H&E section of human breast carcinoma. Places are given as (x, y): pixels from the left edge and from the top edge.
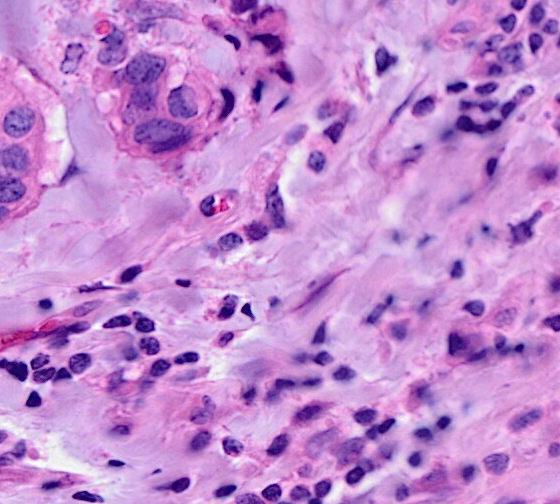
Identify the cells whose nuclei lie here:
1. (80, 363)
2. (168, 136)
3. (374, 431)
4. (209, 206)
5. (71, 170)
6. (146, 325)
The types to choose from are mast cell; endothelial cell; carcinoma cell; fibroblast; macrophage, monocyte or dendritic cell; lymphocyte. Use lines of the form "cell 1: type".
cell 1: lymphocyte
cell 2: carcinoma cell
cell 3: lymphocyte
cell 4: endothelial cell
cell 5: fibroblast
cell 6: lymphocyte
